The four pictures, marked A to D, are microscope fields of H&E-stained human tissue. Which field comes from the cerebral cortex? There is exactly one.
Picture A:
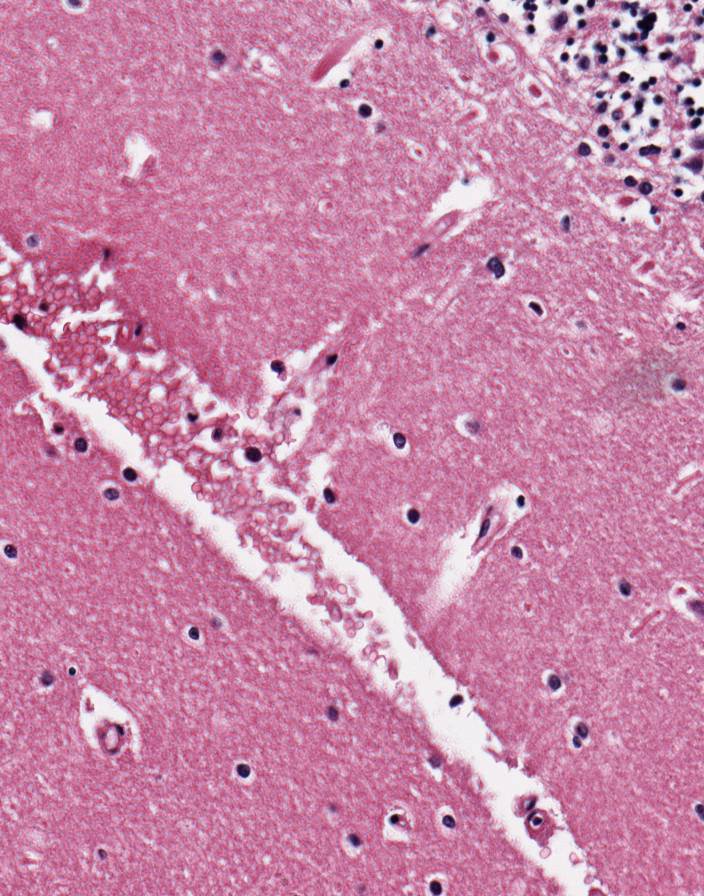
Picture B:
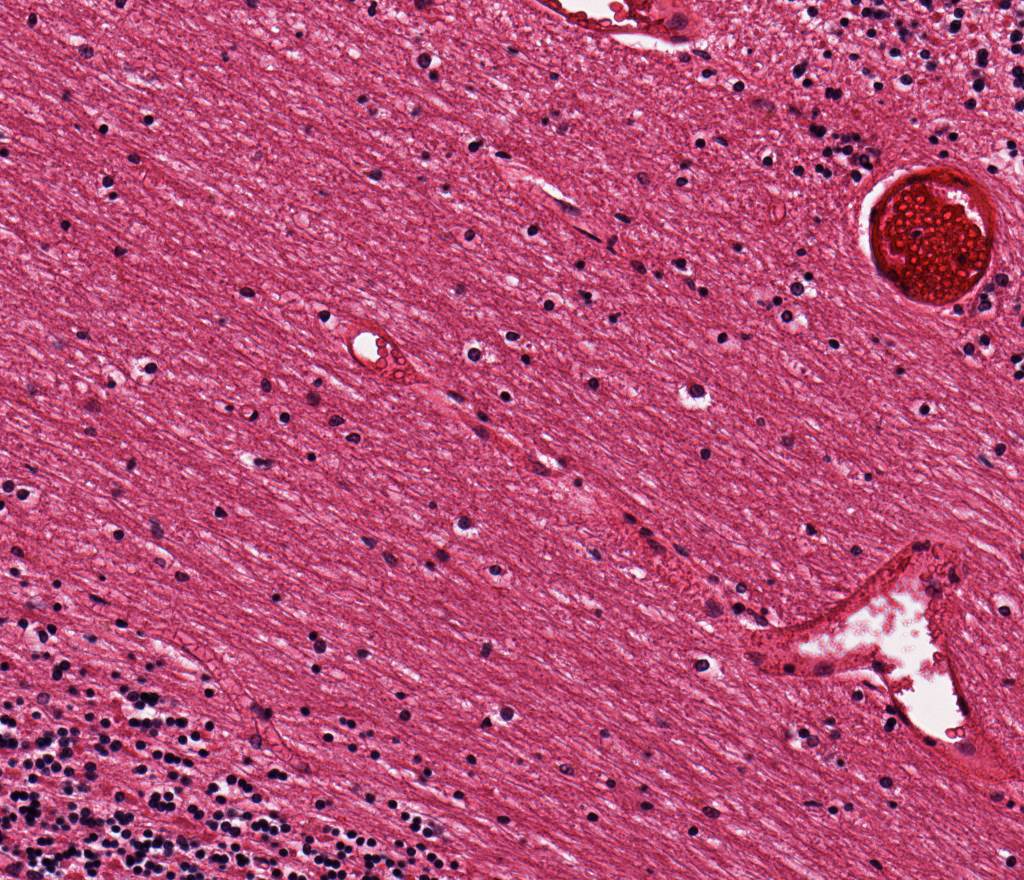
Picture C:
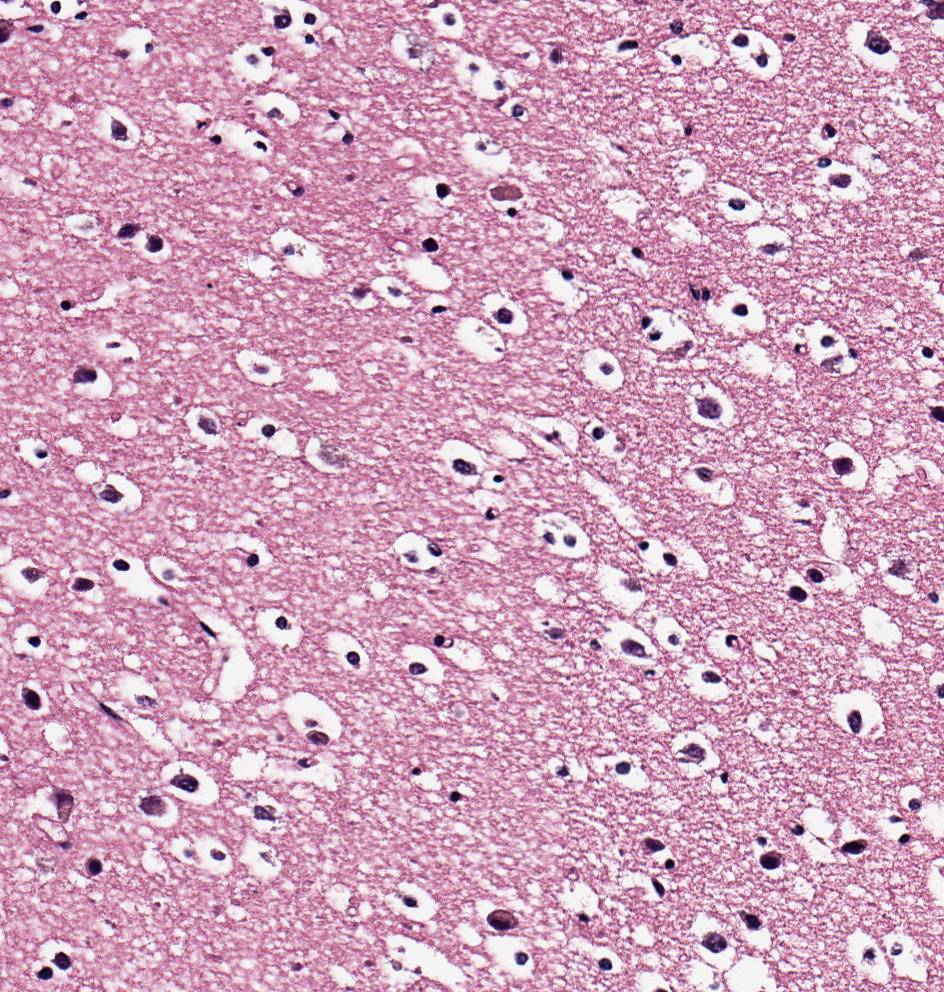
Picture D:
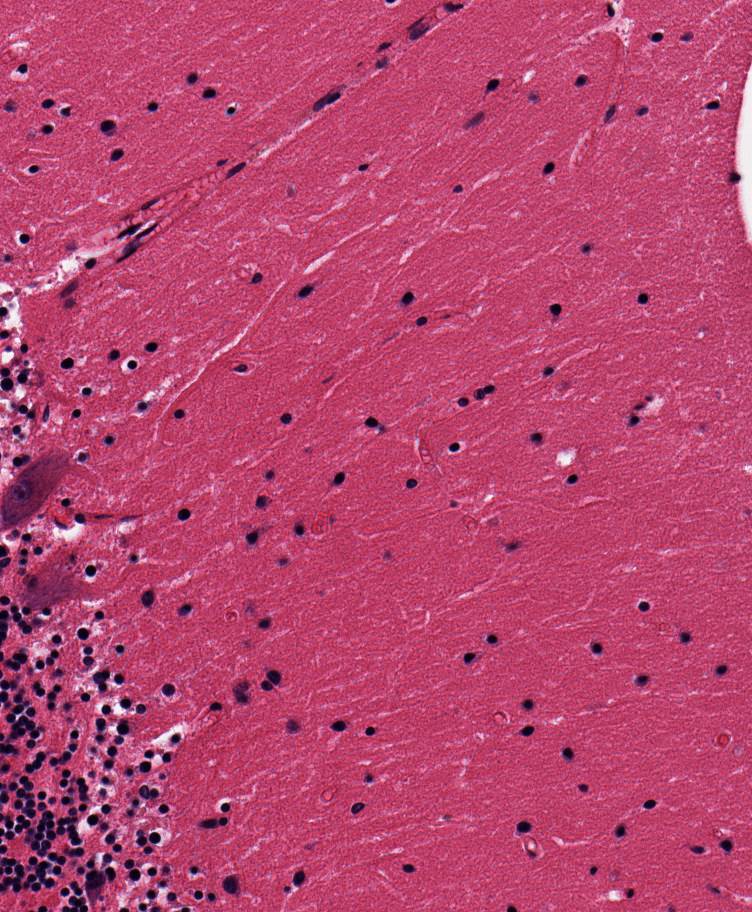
C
